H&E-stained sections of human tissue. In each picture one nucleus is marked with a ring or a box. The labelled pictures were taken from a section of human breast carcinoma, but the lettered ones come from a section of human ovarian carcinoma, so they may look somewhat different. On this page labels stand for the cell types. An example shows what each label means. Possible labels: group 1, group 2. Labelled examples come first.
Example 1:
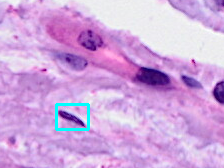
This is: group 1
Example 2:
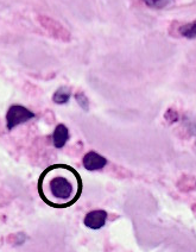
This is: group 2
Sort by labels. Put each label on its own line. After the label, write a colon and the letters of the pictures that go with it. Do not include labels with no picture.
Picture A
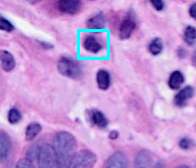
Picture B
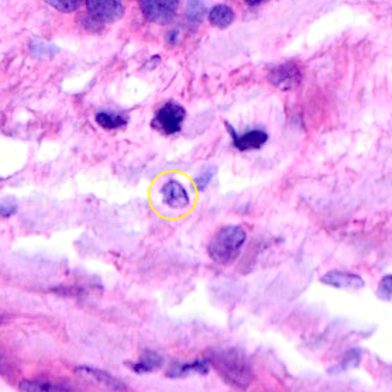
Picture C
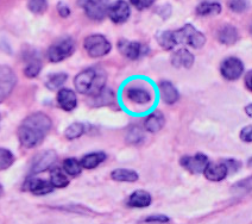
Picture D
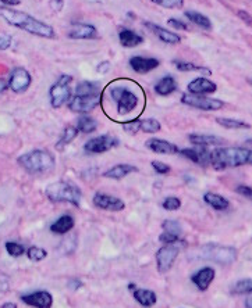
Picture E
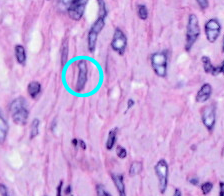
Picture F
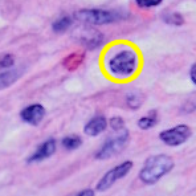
group 1: E
group 2: A, B, C, D, F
